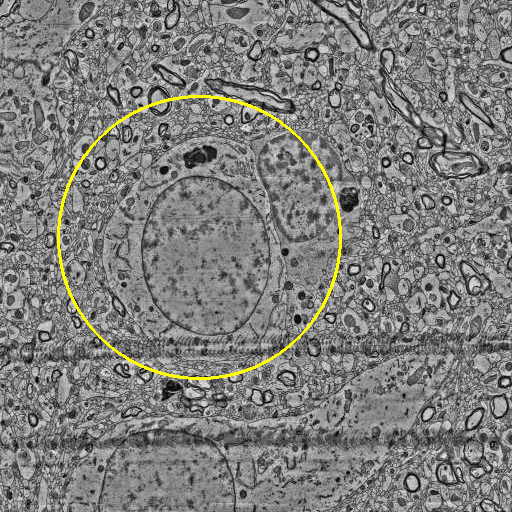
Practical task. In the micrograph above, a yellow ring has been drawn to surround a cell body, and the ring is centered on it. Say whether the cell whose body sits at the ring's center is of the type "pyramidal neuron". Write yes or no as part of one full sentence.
Yes, the cell at the center of the ring above is of the type asked about.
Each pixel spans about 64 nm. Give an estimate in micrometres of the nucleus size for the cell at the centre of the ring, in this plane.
The nucleus is approximately 10 micrometers long by 8 micrometers wide in this plane.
